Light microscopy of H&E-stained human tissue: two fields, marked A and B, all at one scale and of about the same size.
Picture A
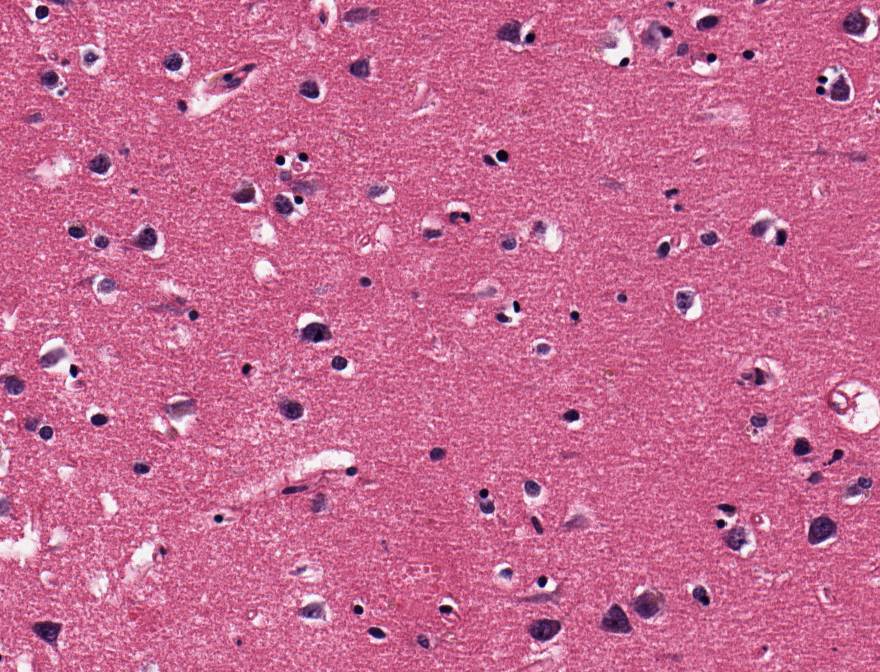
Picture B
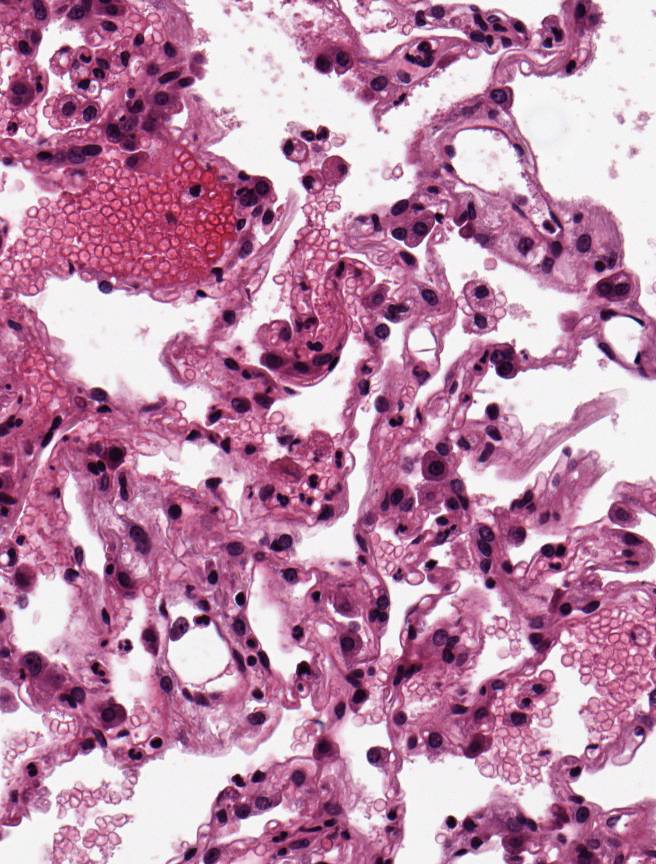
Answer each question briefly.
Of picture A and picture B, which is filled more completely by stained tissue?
A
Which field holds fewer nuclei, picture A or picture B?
A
